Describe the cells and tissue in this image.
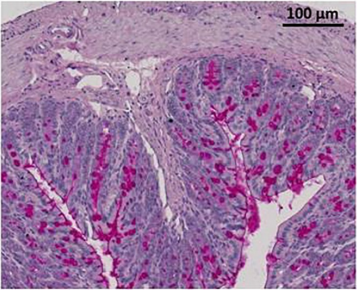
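This section of colonic mucosa shows crypts arranged side by side, running toward a branching central lumen lined by a magenta mucus layer. The crypts are lined by a single layer of epithelium with blue-purple nuclei. Much of the epithelium therefore appears blue-purple, with thin strands of lamina propria between crypts. A band of pale smooth muscle lies along the top of the field.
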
